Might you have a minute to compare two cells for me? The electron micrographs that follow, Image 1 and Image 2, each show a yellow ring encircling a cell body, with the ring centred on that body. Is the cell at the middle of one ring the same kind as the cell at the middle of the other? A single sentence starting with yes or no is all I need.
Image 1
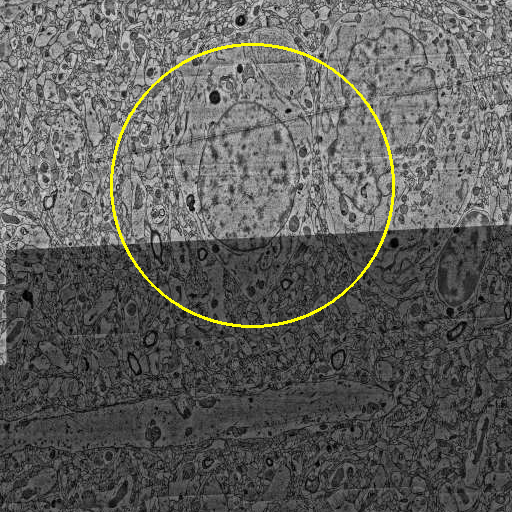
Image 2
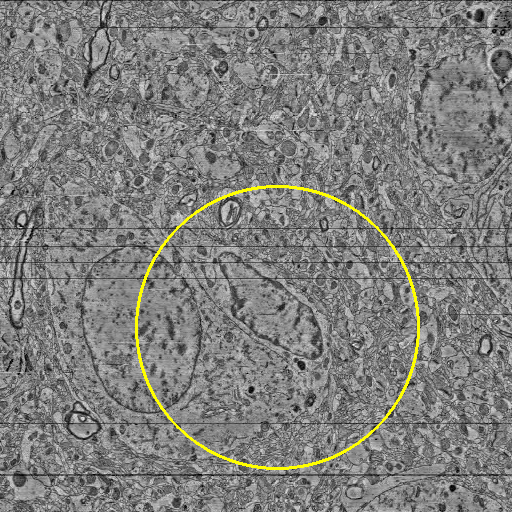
No, the cells in the middle of the two rings are of two separate kinds.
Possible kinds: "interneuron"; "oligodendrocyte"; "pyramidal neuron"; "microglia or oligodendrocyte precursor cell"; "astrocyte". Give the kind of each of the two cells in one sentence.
The cell in the second picture is a microglial cell or oligodendrocyte precursor cell, and that in the first is a pyramidal neuron.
